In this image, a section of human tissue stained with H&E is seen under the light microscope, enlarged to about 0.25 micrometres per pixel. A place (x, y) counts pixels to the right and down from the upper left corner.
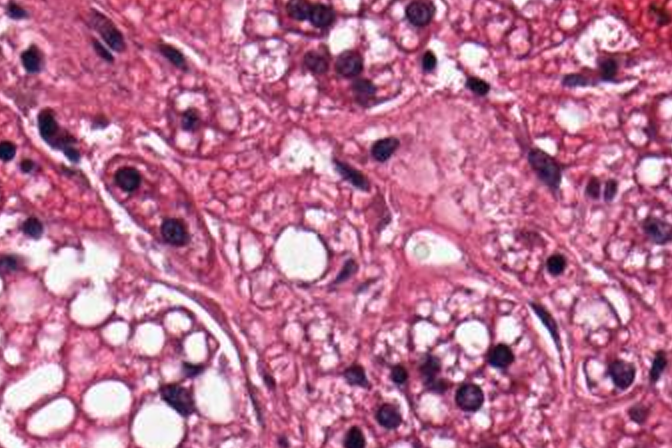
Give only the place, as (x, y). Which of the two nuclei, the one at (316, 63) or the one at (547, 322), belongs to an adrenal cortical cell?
(316, 63)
